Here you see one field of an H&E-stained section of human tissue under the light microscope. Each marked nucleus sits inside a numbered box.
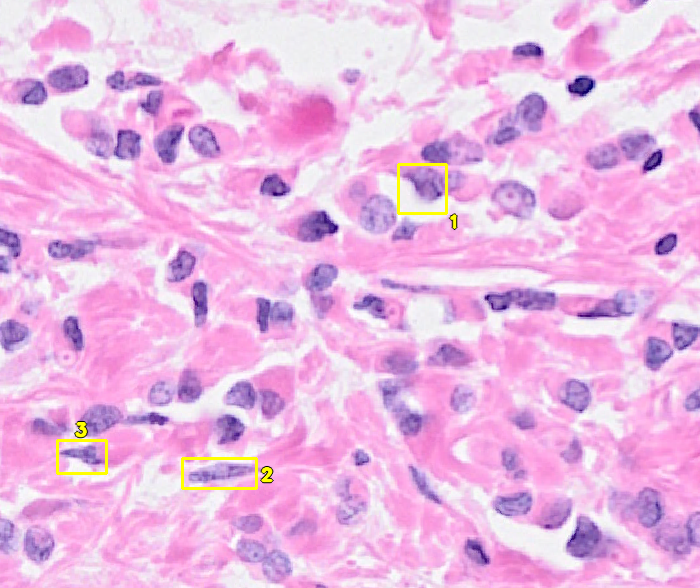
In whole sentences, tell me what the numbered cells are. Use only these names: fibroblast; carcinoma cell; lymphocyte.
Cell 1 is a carcinoma cell. Cells 2 and 3 are fibroblasts.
